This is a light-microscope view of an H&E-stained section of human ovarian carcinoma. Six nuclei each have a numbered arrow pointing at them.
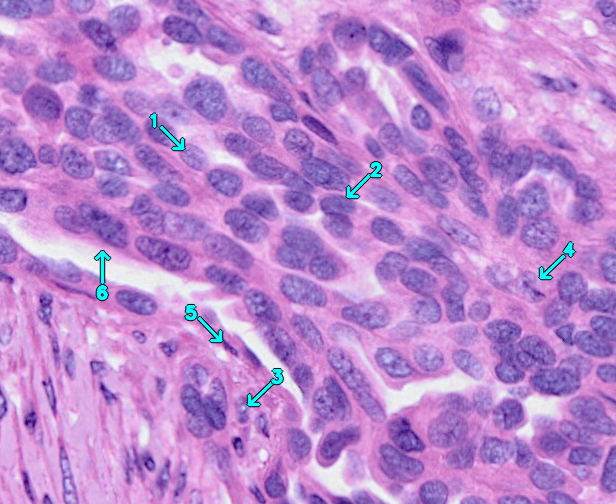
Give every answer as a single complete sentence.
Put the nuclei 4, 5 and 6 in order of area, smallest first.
The order from the smallest nucleus to the largest is 5, 4, 6.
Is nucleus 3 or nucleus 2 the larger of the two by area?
Nucleus 2 is larger, with an area about 2.5 times that of nucleus 3.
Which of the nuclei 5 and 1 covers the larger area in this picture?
The larger nucleus is 1, at roughly 3 times the area of 5.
